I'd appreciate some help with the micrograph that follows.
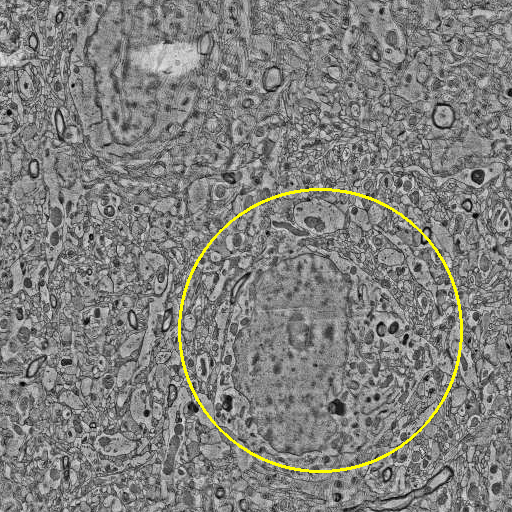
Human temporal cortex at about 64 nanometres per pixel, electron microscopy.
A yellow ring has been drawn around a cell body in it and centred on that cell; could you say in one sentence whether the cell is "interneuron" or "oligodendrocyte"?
It is an interneuron at the centre of the ring.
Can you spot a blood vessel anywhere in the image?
No, no vessel appears in the picture.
